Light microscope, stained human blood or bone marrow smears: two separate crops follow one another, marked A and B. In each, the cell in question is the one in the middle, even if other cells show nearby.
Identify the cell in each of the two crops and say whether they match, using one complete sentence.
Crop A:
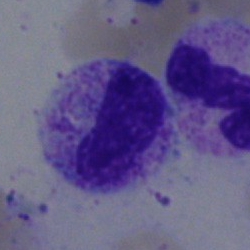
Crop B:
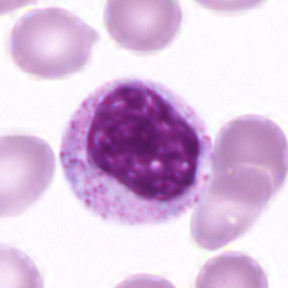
No, crop A displays a band neutrophil, and crop B displays a metamyelocyte.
